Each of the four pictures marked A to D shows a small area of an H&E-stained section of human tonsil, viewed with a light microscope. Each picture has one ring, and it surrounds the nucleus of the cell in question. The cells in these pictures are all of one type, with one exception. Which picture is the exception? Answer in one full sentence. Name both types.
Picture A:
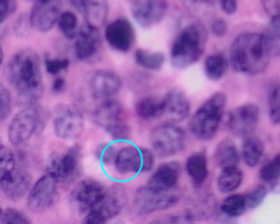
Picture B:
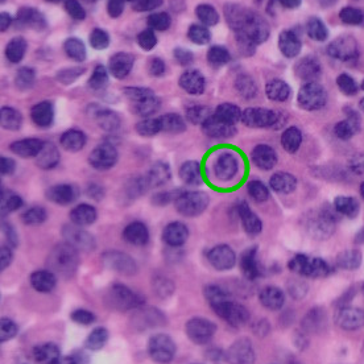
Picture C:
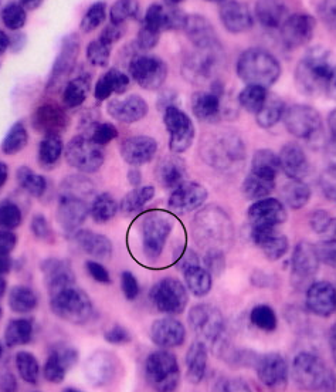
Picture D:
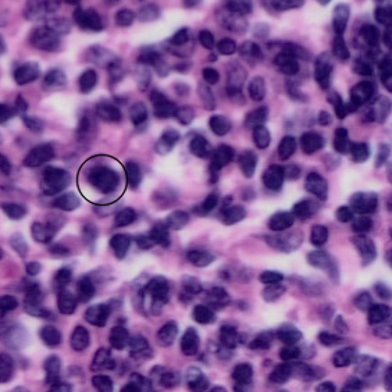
Picture B is the odd one out: it shows a plasma cell, while the others show proliferating B cells.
